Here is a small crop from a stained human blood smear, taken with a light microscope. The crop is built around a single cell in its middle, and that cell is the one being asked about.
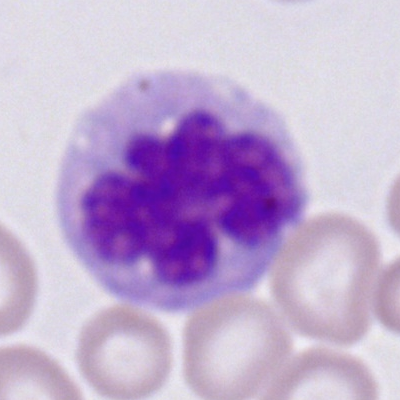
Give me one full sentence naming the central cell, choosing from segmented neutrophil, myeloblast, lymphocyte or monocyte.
The cell under consideration, at the middle of the crop, is a monocyte.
